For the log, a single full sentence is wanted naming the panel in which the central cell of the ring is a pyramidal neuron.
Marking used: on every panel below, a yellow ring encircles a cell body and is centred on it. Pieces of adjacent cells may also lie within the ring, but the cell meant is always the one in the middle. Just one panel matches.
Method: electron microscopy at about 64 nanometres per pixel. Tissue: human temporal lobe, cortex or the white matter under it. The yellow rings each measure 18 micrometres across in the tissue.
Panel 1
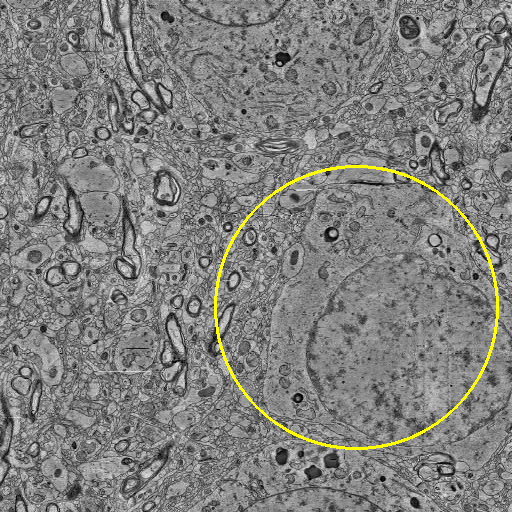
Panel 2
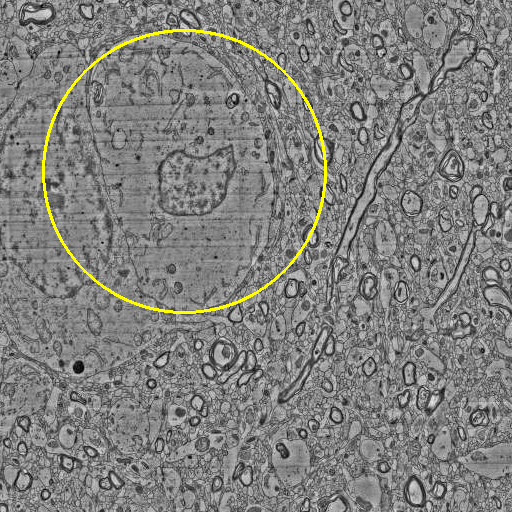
The cell in the middle of the ring in panel 2 is the one asked for.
